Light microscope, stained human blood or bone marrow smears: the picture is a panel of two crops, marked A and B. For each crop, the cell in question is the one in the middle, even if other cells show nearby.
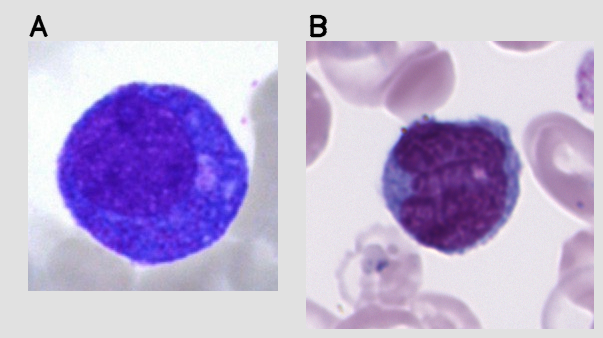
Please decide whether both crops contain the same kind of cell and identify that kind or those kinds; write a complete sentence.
No, on this set crop A shows a promyelocyte and crop B shows a monocyte.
